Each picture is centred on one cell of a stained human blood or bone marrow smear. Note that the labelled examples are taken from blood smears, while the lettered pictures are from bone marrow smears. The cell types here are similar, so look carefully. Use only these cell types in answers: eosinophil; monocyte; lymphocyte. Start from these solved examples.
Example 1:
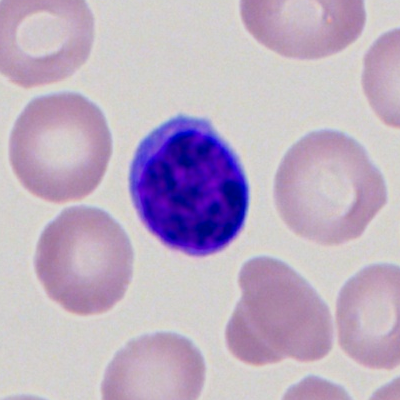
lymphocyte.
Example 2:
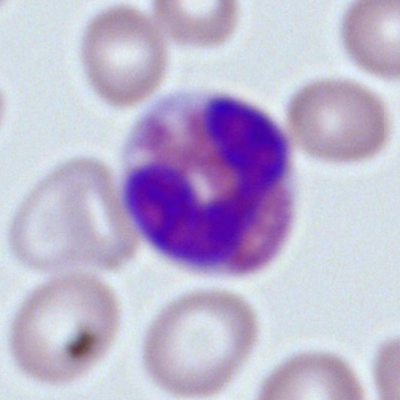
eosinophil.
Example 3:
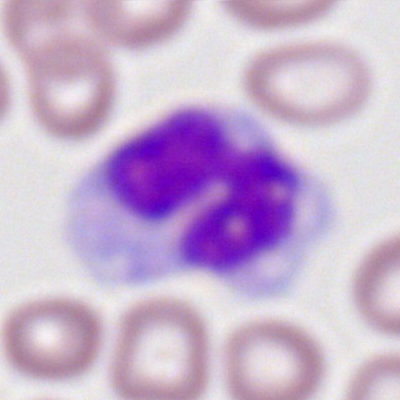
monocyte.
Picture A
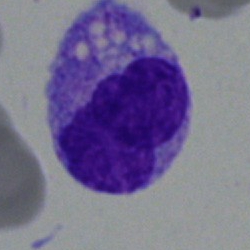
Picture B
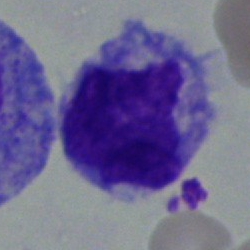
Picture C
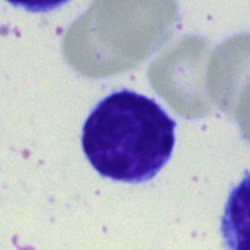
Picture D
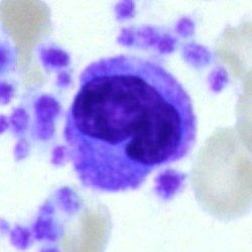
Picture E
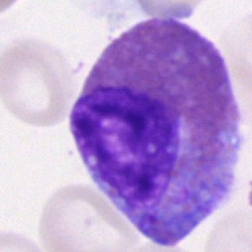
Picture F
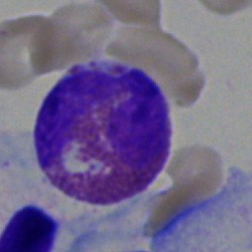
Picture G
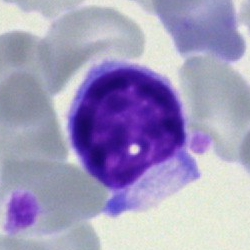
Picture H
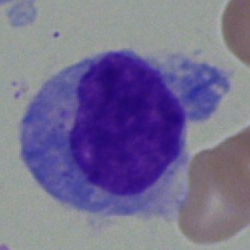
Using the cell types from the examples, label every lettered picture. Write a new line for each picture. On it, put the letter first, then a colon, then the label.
A: monocyte.
B: monocyte.
C: lymphocyte.
D: monocyte.
E: eosinophil.
F: eosinophil.
G: lymphocyte.
H: monocyte.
